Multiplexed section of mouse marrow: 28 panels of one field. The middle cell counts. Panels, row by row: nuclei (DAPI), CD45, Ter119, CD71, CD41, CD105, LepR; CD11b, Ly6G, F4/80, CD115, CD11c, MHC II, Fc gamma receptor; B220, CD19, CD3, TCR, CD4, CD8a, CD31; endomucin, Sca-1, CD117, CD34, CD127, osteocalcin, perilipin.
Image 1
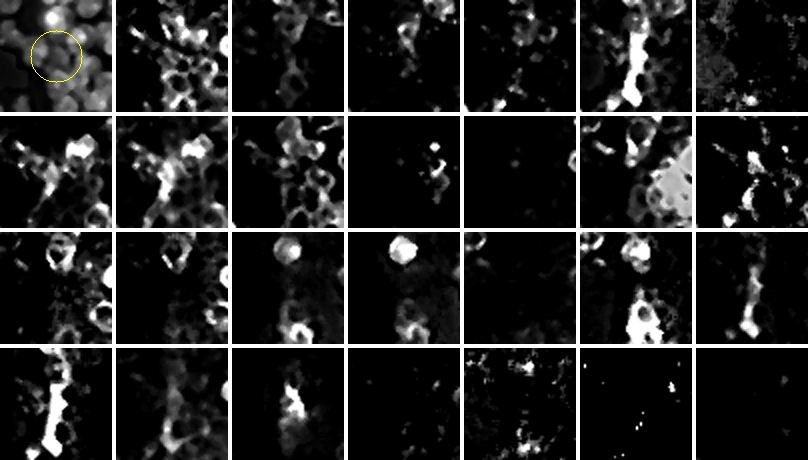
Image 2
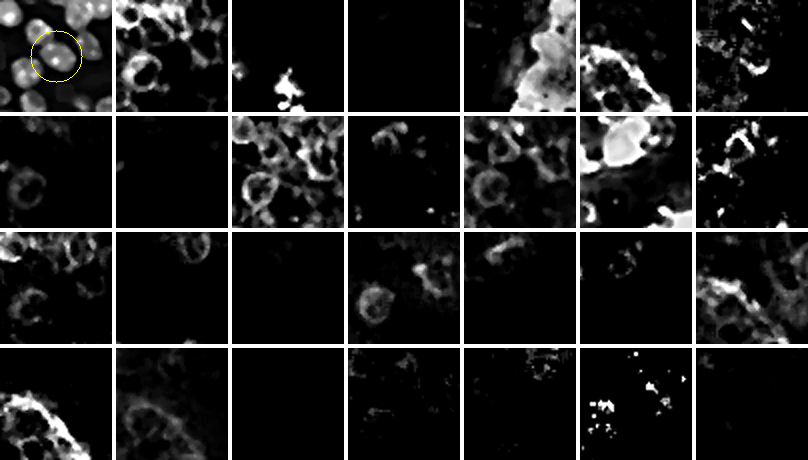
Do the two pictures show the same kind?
No: an erythroid progenitor (CFU-E), then a LepR-positive perivascular cell.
